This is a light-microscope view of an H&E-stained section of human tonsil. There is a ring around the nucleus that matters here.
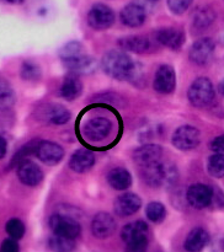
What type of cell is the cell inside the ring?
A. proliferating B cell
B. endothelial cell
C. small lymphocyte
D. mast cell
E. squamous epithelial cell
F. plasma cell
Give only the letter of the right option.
F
